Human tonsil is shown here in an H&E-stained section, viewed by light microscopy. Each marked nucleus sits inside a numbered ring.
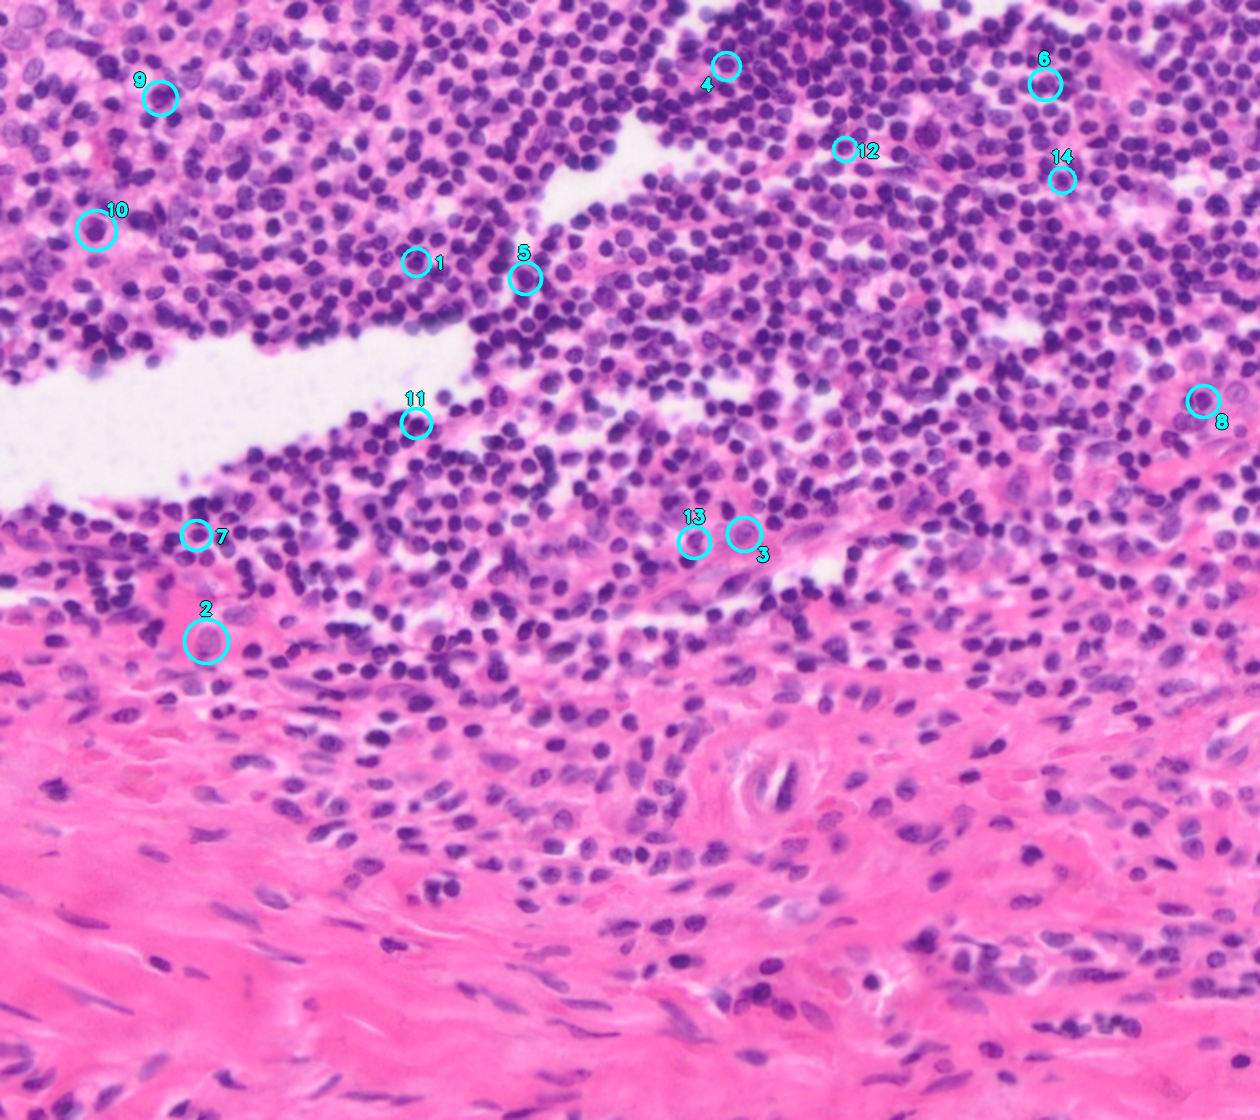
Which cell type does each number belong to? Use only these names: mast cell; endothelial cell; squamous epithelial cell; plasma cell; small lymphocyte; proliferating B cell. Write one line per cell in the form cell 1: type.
cell 1: small lymphocyte
cell 2: endothelial cell
cell 3: endothelial cell
cell 4: small lymphocyte
cell 5: small lymphocyte
cell 6: small lymphocyte
cell 7: small lymphocyte
cell 8: endothelial cell
cell 9: proliferating B cell
cell 10: proliferating B cell
cell 11: small lymphocyte
cell 12: small lymphocyte
cell 13: endothelial cell
cell 14: small lymphocyte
